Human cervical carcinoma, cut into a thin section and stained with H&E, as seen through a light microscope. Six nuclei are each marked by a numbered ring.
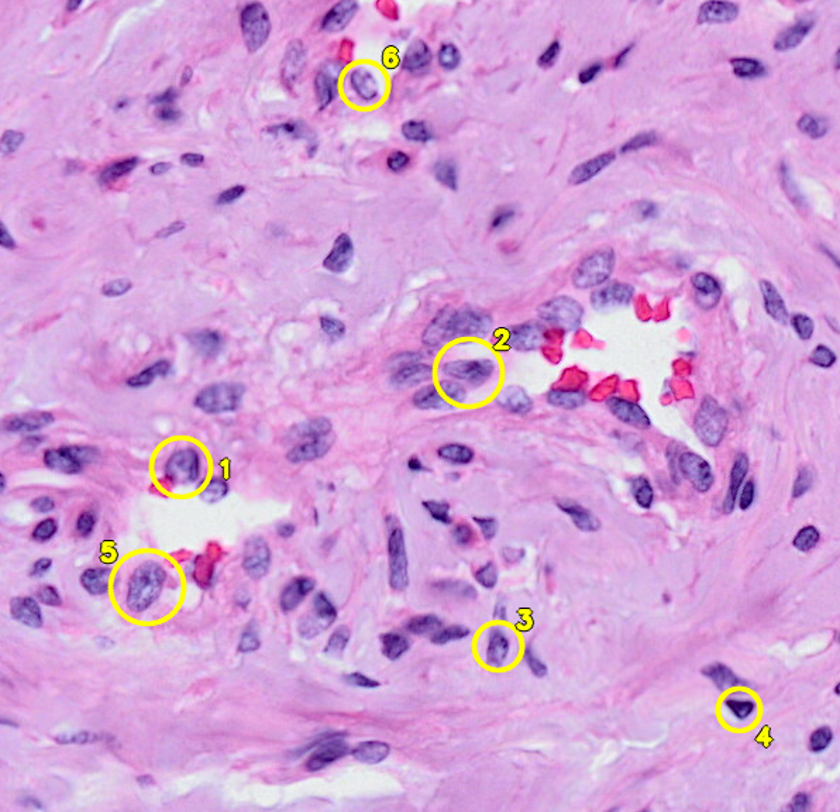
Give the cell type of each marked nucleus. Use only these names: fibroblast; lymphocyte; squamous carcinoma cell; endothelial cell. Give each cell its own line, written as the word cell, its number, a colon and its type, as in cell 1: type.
cell 1: endothelial cell
cell 2: endothelial cell
cell 3: fibroblast
cell 4: lymphocyte
cell 5: endothelial cell
cell 6: endothelial cell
